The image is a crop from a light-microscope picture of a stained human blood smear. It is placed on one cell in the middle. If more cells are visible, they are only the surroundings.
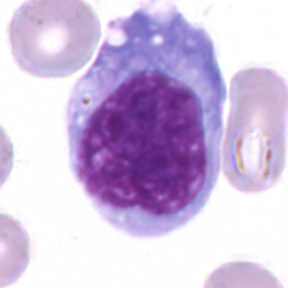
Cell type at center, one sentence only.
The central cell, amid any neighbouring cells, is a plasma cell.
